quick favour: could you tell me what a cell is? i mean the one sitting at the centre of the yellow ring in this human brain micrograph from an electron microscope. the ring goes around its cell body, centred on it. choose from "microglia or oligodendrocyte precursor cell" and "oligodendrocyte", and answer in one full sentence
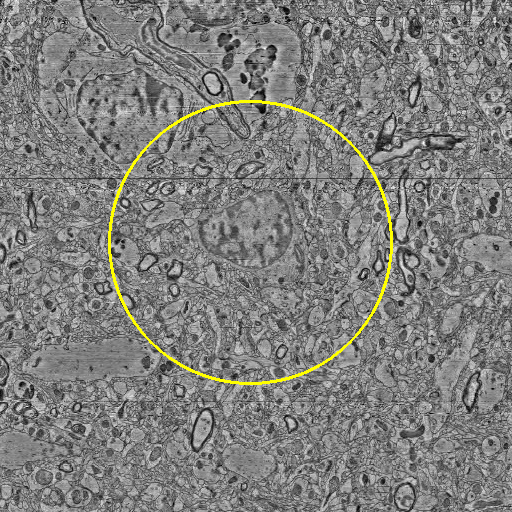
That's an oligodendrocyte, the cell sitting at the centre of the yellow ring.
